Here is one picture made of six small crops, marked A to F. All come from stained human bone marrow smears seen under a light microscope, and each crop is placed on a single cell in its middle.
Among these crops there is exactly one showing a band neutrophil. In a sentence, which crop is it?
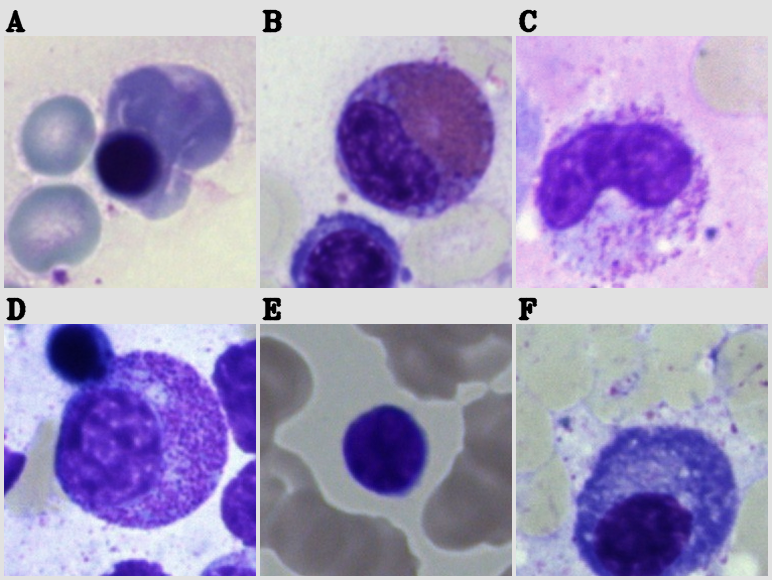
The one showing a band neutrophil is crop C.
